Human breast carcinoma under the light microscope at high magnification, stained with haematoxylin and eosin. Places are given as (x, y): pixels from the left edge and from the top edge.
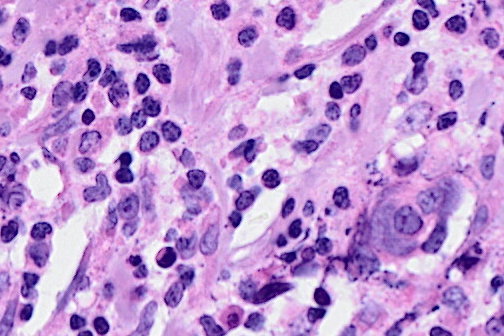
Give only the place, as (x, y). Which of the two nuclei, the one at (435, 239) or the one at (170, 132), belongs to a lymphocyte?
(170, 132)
